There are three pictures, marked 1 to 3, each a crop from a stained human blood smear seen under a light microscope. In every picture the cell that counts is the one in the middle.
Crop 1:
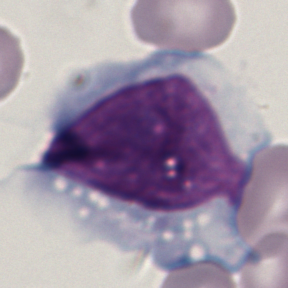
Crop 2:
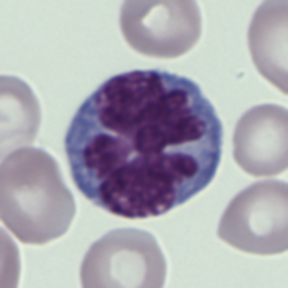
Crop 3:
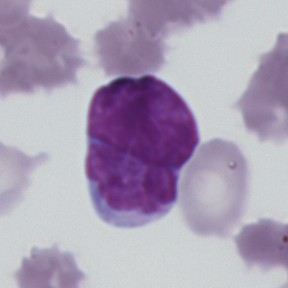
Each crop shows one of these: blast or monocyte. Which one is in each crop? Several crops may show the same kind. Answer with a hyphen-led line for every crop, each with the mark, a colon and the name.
- 1: blast
- 2: monocyte
- 3: blast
